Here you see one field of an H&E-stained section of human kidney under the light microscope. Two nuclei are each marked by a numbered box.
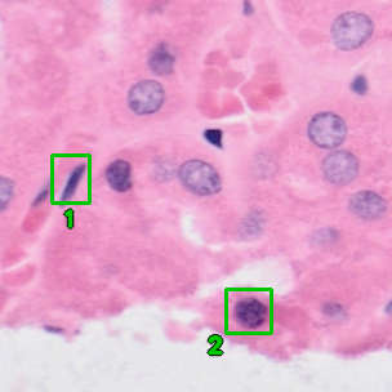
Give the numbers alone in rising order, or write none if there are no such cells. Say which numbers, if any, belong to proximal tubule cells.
2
